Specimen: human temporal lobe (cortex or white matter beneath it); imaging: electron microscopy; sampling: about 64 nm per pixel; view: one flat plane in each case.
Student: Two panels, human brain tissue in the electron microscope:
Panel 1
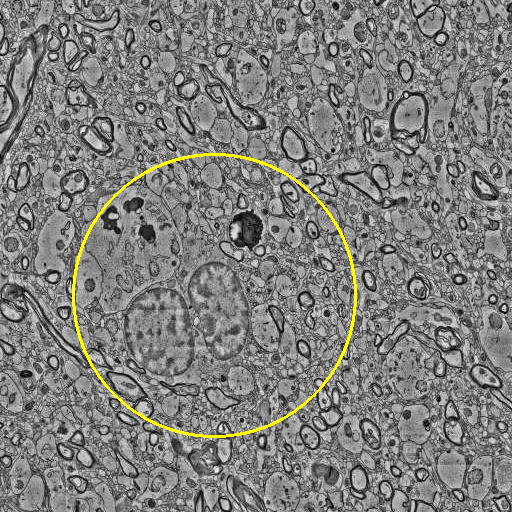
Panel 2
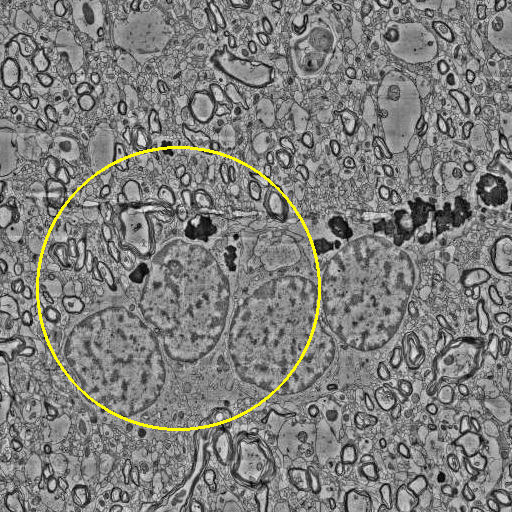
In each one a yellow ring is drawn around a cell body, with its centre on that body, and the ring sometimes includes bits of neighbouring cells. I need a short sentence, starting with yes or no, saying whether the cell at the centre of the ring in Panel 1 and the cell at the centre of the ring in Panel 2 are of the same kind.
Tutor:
Yes, they are the same kind of cell.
